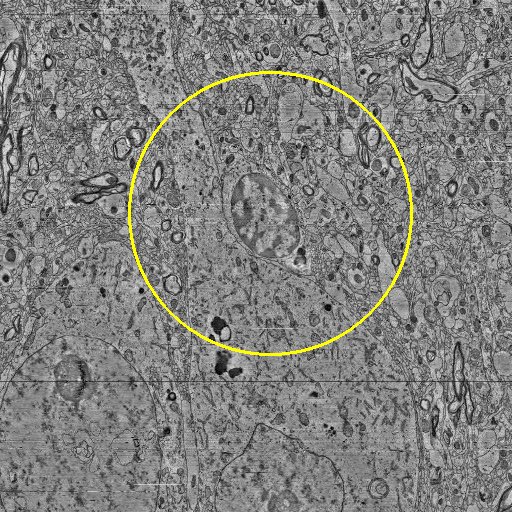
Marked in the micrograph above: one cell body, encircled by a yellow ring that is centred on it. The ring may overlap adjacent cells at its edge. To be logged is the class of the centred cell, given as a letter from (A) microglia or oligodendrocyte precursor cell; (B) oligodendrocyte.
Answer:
A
